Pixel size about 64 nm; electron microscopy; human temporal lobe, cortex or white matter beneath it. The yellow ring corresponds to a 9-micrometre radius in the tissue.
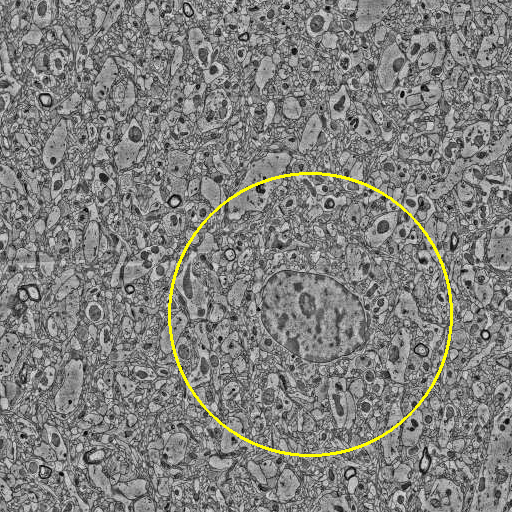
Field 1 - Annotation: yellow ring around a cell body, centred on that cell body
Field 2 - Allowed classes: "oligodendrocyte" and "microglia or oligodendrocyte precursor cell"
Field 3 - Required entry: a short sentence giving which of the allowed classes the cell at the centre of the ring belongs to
The centred cell is a microglial cell or oligodendrocyte precursor cell.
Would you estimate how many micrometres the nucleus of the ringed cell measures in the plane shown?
Approximately 7 by 5 micrometers in this plane.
